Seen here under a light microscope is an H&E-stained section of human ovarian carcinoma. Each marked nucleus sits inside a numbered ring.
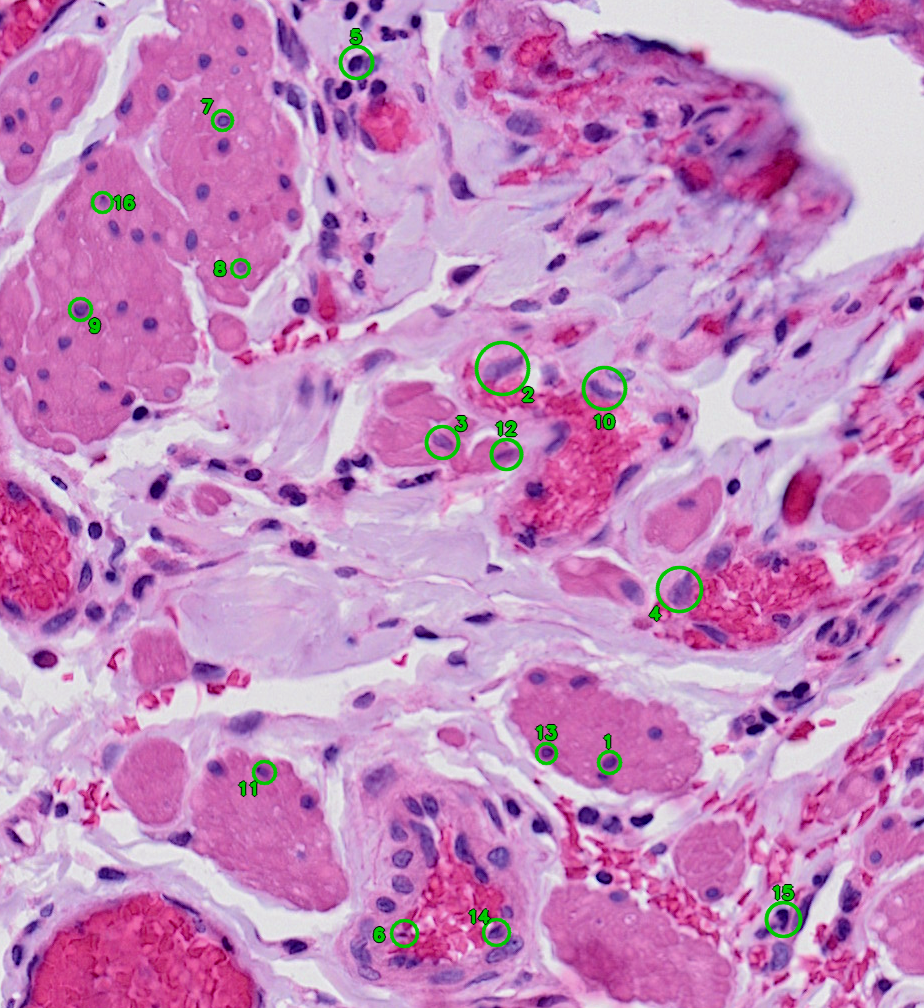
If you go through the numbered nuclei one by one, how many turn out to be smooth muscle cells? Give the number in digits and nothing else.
9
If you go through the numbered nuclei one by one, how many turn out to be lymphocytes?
2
